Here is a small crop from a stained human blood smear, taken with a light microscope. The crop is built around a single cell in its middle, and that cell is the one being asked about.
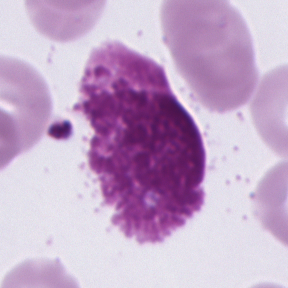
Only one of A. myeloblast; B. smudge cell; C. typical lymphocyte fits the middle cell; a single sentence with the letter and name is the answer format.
Option B is accurate; the centrally placed cell is a smudge cell.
